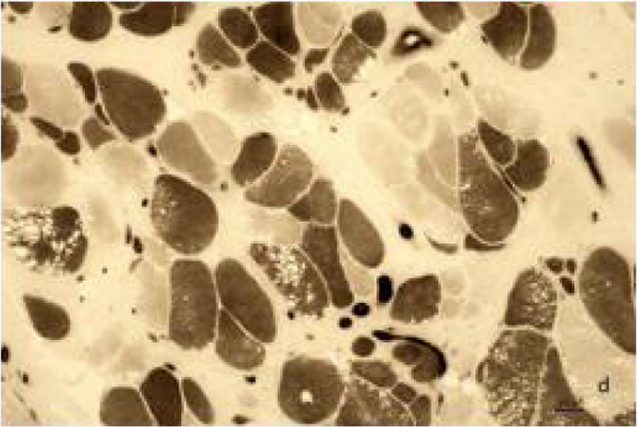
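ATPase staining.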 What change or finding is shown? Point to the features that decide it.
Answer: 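Dark brown and pale fibers are intermixed across the field. On this evidence: mosaic pattern.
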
